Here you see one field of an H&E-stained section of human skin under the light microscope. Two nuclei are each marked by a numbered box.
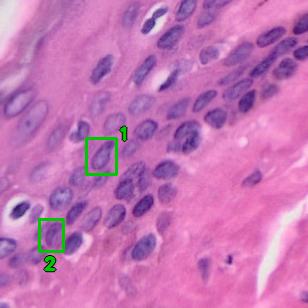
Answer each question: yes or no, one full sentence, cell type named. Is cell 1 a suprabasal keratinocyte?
Yes, cell number 1 in this section is a suprabasal keratinocyte.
